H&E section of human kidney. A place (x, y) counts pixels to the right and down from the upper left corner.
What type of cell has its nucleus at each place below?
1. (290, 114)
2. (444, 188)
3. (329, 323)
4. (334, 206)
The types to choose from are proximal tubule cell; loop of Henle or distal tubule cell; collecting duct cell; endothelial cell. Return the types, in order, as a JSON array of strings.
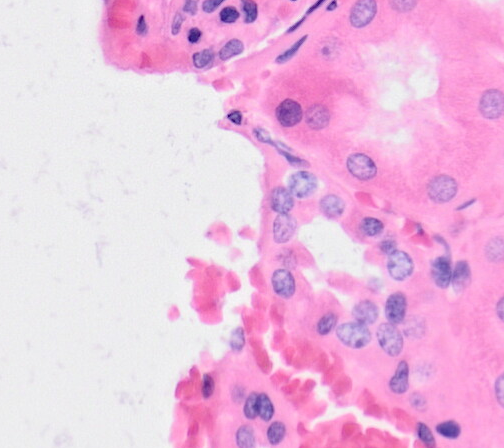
["proximal tubule cell", "proximal tubule cell", "collecting duct cell", "collecting duct cell"]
